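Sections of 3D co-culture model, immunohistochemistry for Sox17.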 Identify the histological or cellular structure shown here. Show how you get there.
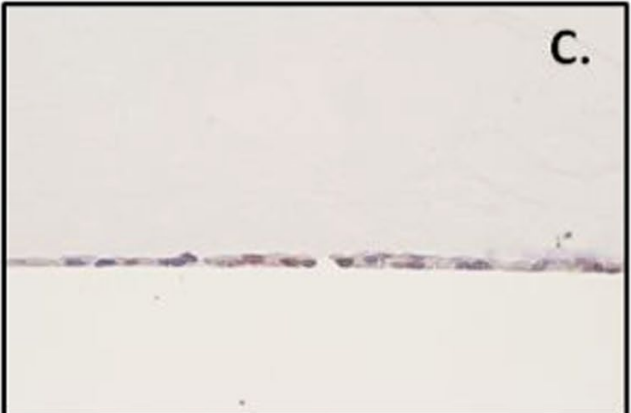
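A single thin row of flattened cells runs horizontally across the panel. Nuclei lie in one line with no cells stacked above one another.
Hence: monolayer.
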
